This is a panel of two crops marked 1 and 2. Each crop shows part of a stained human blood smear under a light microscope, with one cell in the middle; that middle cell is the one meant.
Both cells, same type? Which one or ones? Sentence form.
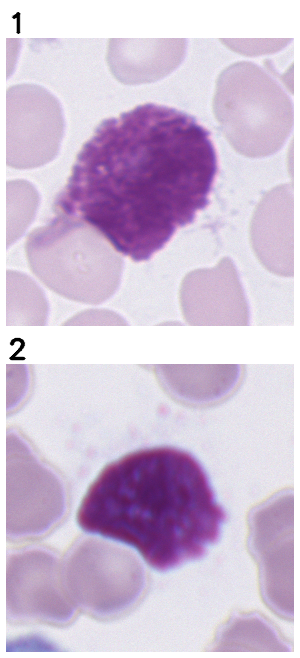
Yes, both crops show smudge cells as the central cells.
